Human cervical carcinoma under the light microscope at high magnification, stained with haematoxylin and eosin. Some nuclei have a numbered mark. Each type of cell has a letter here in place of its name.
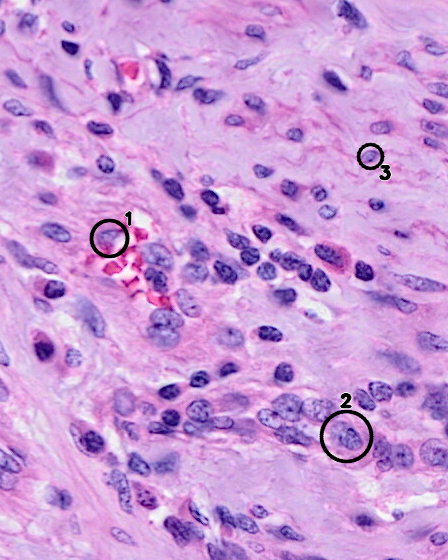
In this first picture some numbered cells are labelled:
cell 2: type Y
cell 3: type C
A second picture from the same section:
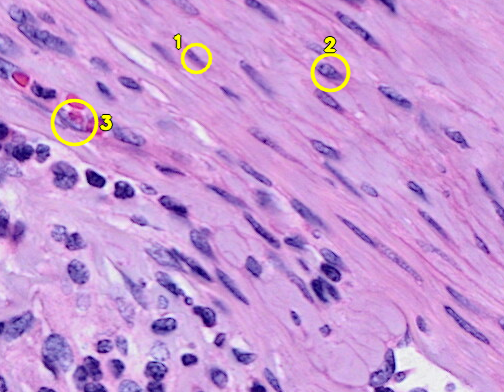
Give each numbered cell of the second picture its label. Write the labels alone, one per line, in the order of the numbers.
type C
type C
type Y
